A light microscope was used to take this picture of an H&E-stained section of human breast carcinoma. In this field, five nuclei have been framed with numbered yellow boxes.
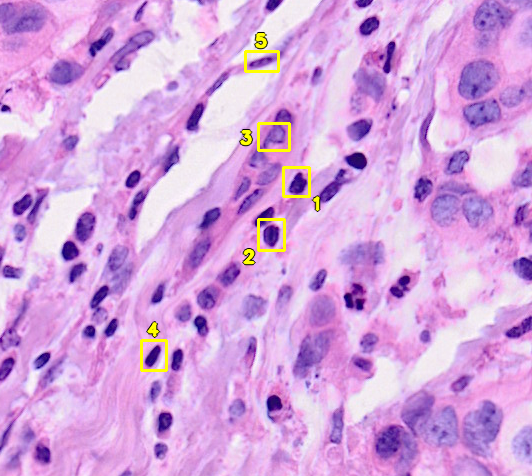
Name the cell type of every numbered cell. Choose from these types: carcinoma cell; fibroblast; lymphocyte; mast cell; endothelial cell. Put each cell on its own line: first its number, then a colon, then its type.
1: lymphocyte
2: lymphocyte
3: endothelial cell
4: lymphocyte
5: fibroblast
